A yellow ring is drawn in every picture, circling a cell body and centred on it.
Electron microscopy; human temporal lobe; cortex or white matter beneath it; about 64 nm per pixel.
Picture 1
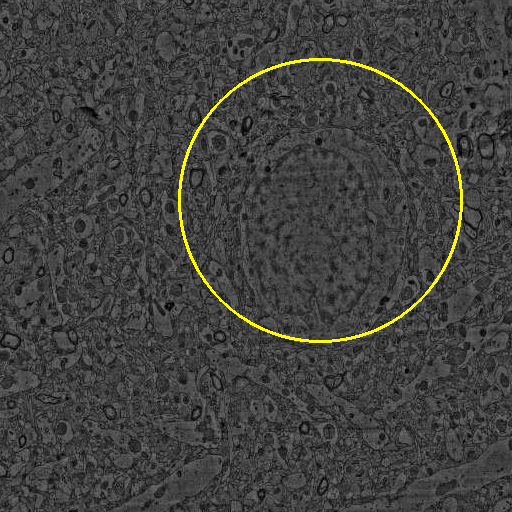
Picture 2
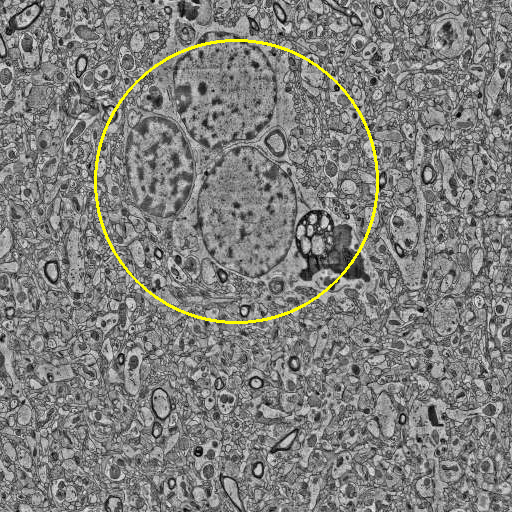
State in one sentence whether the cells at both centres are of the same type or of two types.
The cells at the two ring centres, one per picture, are of two types.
